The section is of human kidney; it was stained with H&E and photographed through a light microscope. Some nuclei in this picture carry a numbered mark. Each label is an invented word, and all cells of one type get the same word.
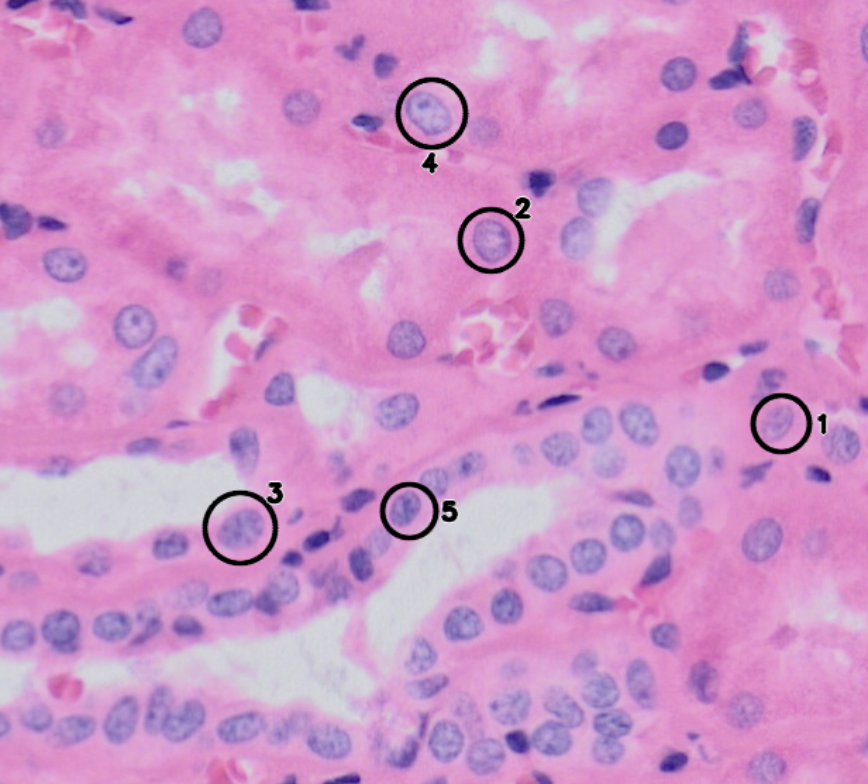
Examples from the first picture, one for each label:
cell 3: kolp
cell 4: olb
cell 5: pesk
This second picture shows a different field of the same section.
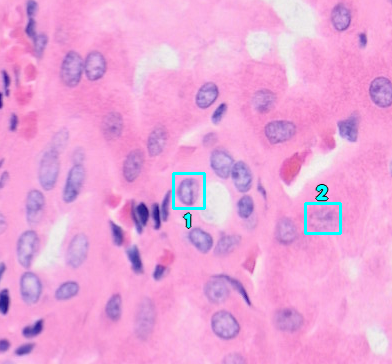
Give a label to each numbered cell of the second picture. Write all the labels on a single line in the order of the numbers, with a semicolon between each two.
pesk; olb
